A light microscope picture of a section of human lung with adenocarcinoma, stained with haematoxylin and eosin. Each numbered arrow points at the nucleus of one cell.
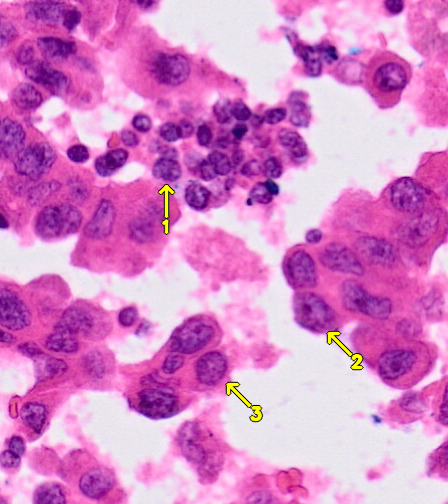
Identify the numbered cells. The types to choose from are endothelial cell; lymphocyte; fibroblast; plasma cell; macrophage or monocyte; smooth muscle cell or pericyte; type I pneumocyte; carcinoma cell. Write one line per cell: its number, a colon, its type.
1: lymphocyte
2: carcinoma cell
3: carcinoma cell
